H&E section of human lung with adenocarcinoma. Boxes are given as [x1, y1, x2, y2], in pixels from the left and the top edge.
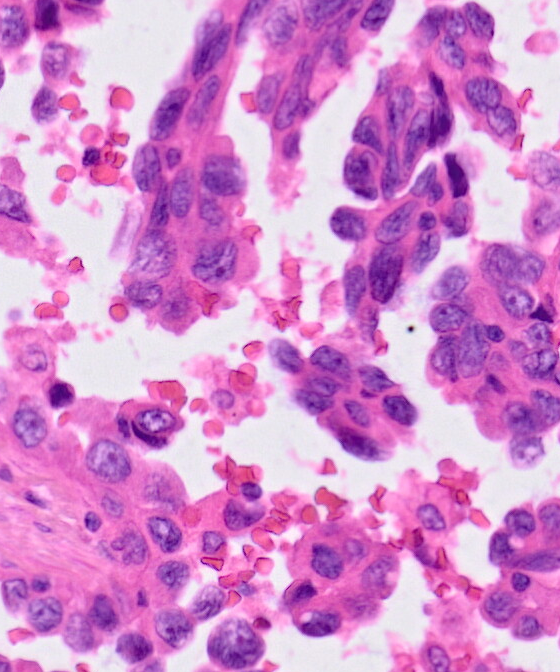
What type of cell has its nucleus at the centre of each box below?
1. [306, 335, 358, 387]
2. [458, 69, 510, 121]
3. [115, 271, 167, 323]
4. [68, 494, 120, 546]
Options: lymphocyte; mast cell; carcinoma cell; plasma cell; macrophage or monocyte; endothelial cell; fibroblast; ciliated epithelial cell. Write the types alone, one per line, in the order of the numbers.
carcinoma cell
carcinoma cell
carcinoma cell
lymphocyte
